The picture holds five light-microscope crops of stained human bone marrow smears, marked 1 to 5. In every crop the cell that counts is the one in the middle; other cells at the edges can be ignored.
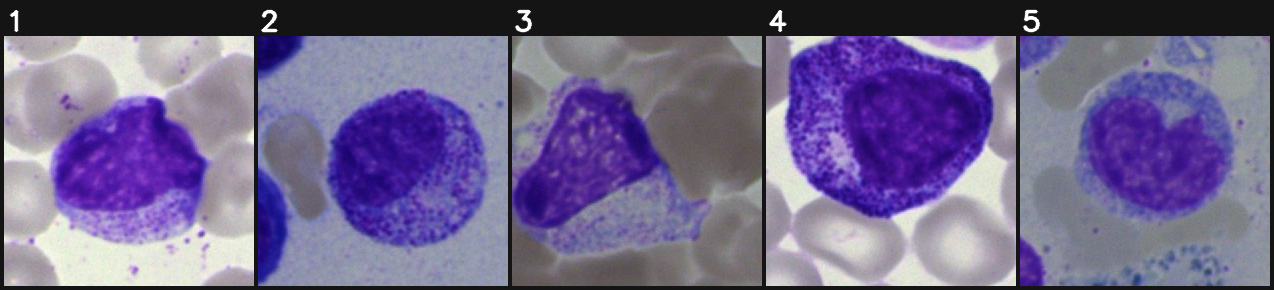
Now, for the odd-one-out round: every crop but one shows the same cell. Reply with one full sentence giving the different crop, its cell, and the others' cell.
Crop 5, showing a monocyte, is the exception; the others all show myelocytes.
